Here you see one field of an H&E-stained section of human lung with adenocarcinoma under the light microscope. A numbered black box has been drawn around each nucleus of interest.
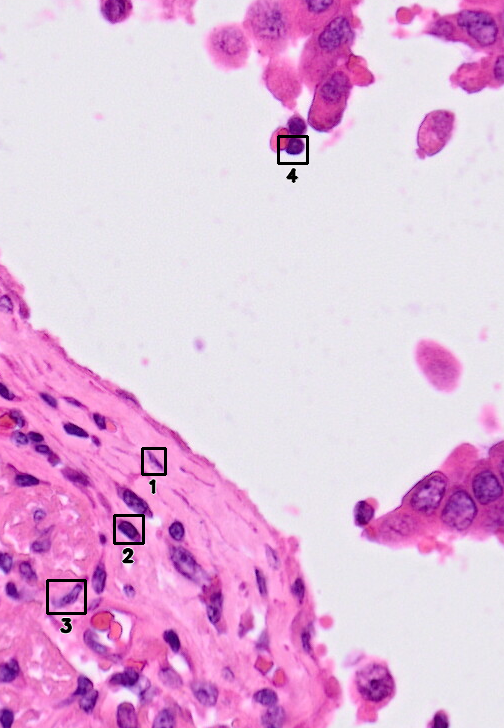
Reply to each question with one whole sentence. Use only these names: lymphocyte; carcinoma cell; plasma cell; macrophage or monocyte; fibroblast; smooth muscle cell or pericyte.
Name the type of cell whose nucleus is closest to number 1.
The nearest nucleus to number 1 belongs to a plasma cell.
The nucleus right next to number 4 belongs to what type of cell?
Closest to number 4 lies the nucleus of a lymphocyte.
